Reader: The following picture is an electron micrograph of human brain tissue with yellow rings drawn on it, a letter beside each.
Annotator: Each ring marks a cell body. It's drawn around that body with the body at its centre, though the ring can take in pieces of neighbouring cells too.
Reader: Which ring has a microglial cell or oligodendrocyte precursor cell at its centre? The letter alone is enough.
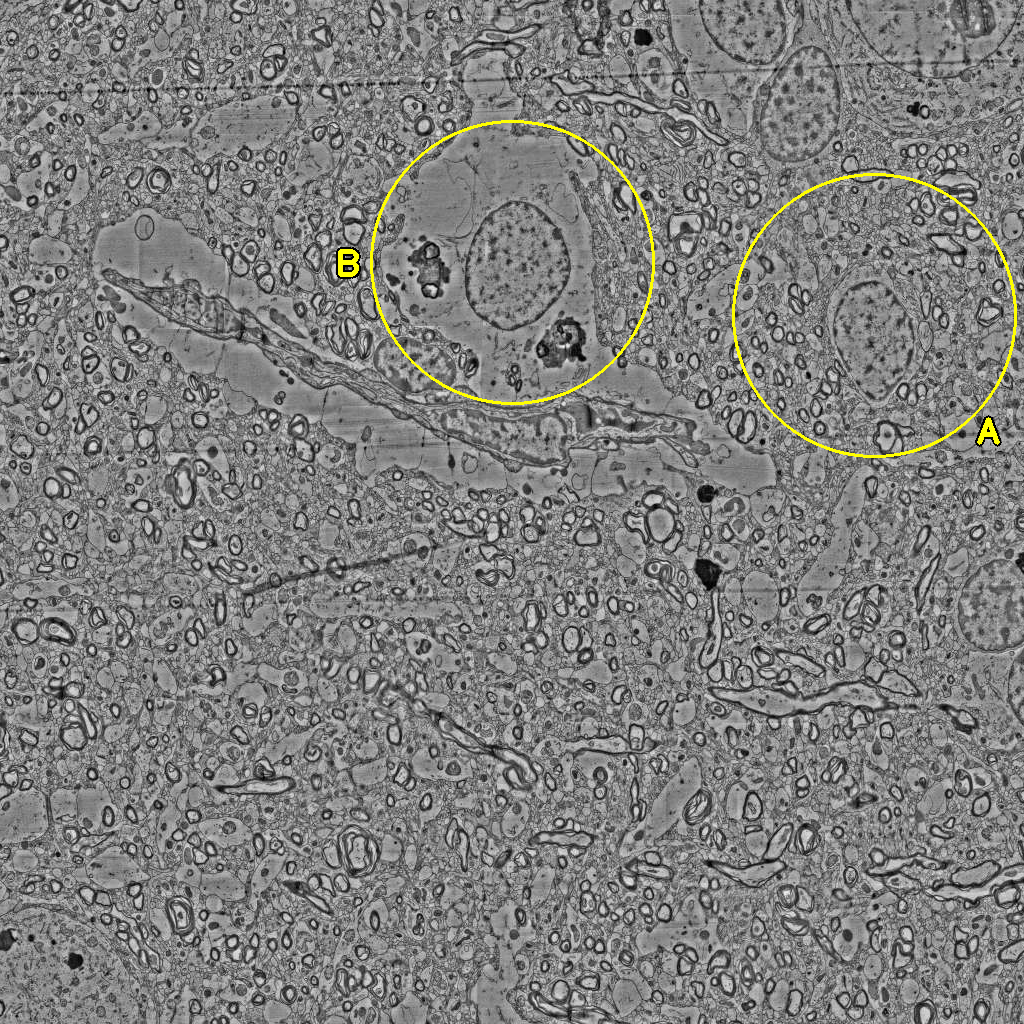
A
